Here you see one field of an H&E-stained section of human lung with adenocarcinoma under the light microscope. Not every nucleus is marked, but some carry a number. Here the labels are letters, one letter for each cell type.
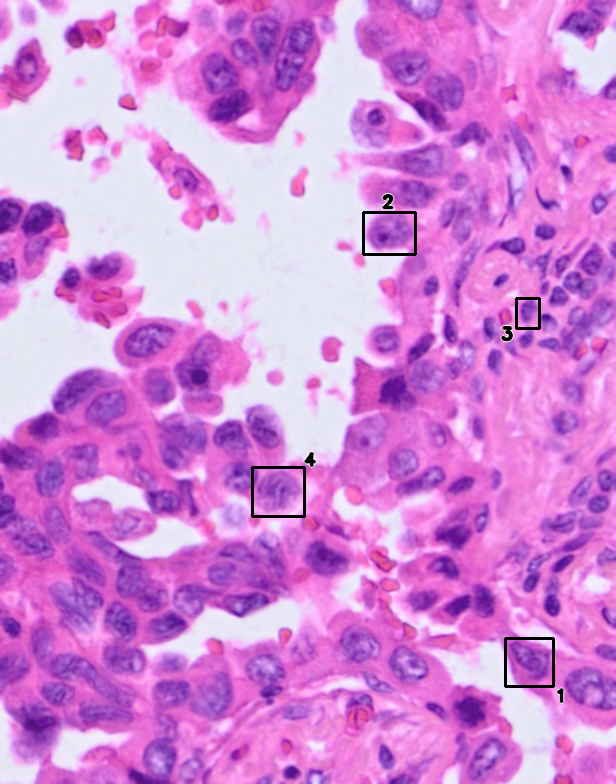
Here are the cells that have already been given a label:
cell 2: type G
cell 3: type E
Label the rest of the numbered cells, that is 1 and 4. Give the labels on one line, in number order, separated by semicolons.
type G; type G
